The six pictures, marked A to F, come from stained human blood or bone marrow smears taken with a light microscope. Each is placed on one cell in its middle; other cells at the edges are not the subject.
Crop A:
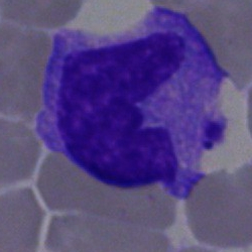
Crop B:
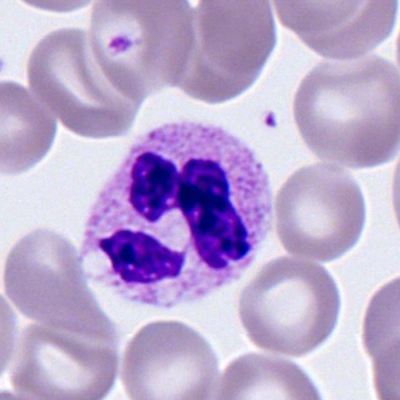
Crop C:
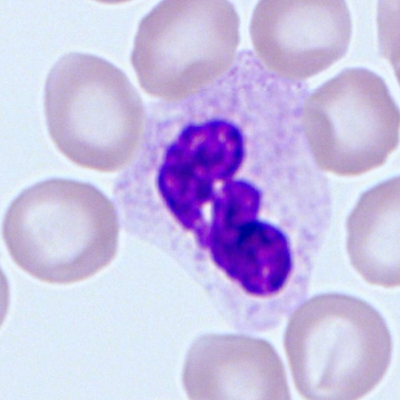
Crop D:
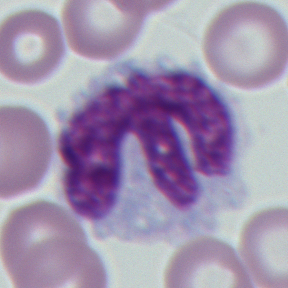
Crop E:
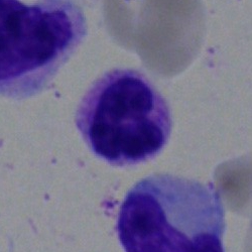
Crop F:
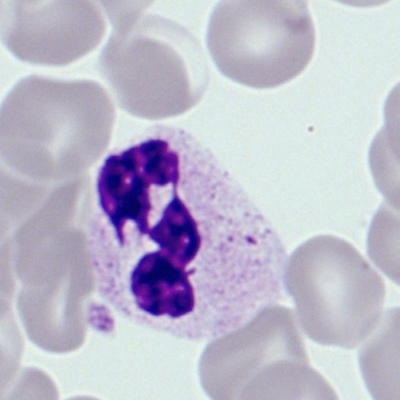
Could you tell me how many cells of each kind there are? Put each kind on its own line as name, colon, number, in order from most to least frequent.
segmented neutrophil: 4
monocyte: 2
